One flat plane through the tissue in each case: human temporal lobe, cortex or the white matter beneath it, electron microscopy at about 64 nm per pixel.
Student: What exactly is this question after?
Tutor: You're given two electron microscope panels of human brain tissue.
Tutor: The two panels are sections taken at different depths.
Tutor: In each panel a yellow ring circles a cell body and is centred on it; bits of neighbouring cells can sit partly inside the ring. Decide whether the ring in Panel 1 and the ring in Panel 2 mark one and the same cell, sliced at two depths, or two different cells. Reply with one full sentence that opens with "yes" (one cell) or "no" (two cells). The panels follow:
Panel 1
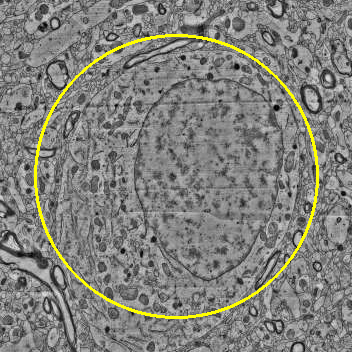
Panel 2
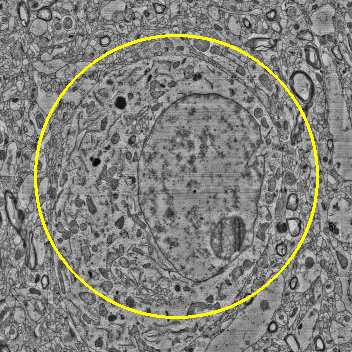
Yes, one single cell is under each of the two rings.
